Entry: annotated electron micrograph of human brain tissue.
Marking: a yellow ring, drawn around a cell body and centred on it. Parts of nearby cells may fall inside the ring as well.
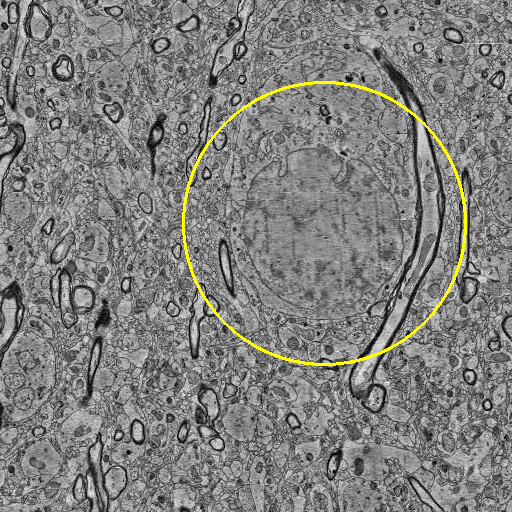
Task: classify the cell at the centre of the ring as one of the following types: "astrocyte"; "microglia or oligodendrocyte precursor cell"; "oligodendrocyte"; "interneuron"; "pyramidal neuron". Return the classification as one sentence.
The marked cell is classified as an interneuron.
